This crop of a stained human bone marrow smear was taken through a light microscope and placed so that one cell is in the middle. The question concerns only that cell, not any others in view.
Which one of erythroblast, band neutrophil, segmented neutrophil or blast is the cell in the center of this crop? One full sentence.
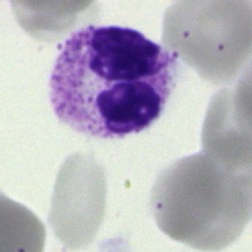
The cell shown in the center of this light-microscope crop is a segmented neutrophil.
